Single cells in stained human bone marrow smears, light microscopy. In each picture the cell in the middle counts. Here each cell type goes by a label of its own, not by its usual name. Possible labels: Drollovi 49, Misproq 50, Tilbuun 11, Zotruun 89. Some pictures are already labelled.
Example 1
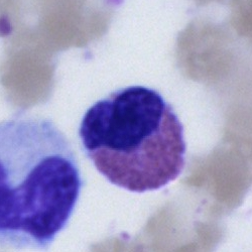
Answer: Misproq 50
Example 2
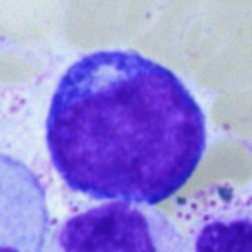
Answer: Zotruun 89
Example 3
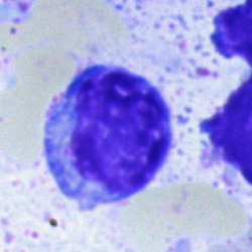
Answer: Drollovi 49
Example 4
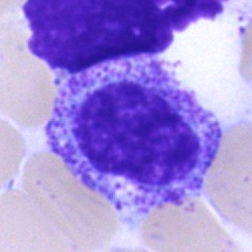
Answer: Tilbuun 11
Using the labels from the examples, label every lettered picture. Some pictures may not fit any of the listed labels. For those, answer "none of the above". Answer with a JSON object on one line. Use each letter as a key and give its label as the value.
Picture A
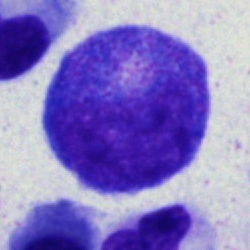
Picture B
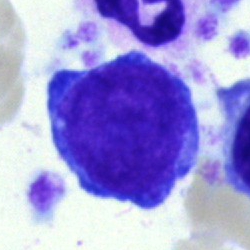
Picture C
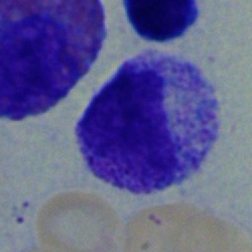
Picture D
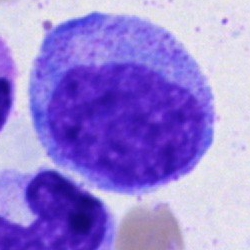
{"A": "none of the above", "B": "Zotruun 89", "C": "Tilbuun 11", "D": "none of the above"}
